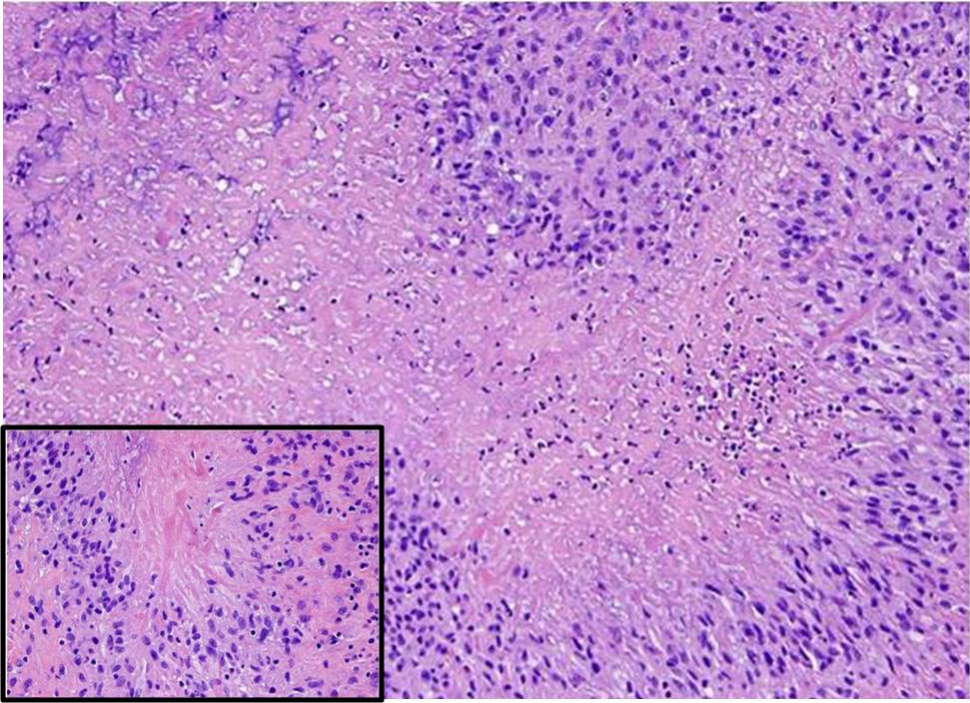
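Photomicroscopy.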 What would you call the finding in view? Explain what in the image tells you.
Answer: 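The upper left holds a broad pink, largely acellular area with scattered nuclear debris. Cells crowd only around the edge of this pink zone. On this evidence: central eosinophilic necrosis.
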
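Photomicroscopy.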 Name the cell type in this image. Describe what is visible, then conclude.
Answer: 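A thick band of cells with single elongated oval nuclei borders the pink zone. The nuclei line up side by side, pointing toward the pink centre. In the inset, cells with oval nuclei line up on both sides of a pink strip.
Hence: palisading mono-nuclear cells.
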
